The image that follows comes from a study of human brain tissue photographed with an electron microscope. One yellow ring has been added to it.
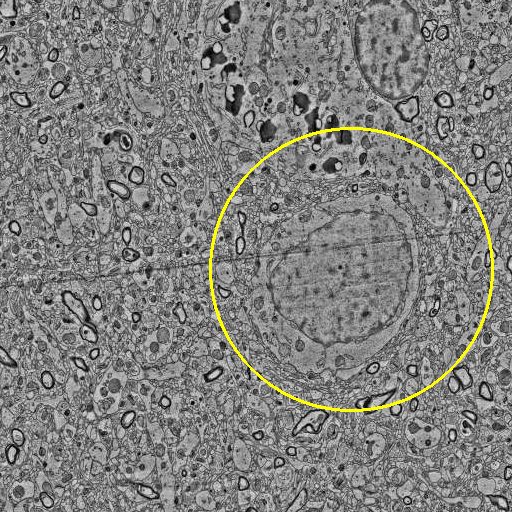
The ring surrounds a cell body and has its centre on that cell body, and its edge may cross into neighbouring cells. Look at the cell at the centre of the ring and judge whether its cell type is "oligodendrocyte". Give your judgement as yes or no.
no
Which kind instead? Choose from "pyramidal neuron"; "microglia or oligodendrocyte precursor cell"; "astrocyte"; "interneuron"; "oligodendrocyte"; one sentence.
That cell in the ring is an interneuron instead.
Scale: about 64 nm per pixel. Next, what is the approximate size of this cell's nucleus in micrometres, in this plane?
The nucleus has a long axis of about 10 micrometres and a short axis of about 8 micrometres in this plane.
